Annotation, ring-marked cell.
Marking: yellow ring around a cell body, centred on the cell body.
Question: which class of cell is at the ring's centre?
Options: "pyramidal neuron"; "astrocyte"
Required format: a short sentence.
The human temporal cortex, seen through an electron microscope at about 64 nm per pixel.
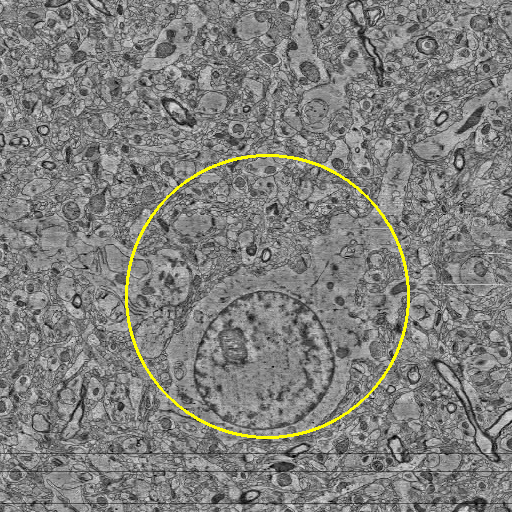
At the ring's centre is an astrocyte.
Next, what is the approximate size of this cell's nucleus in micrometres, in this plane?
The nucleus appears about 9 micrometres across in this plane.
